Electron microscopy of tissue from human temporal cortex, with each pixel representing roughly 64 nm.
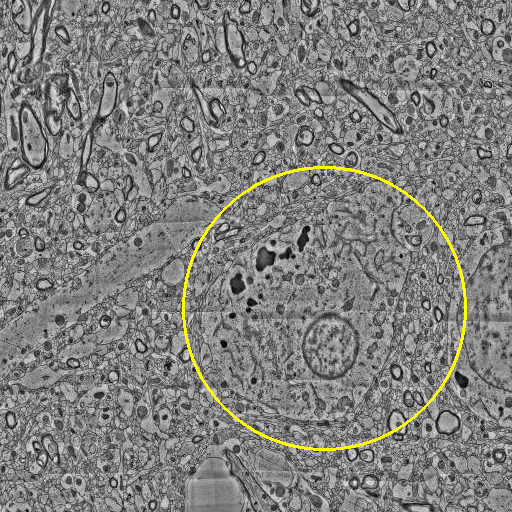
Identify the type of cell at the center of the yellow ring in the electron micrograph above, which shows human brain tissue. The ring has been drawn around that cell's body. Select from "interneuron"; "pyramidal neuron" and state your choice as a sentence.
The yellow ring is centered on the body of a pyramidal neuron.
